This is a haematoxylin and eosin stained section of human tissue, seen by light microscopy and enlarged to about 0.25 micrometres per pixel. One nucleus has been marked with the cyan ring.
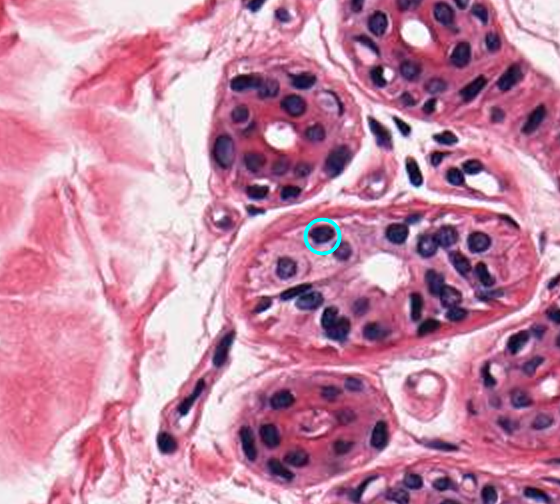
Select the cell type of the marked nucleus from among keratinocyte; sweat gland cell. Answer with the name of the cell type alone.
sweat gland cell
